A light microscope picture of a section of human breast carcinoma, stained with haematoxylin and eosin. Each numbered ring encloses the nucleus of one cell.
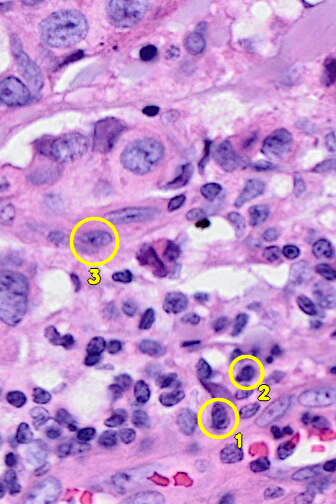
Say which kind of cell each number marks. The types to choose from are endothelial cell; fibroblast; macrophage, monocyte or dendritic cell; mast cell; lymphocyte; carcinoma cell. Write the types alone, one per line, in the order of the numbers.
lymphocyte
lymphocyte
endothelial cell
